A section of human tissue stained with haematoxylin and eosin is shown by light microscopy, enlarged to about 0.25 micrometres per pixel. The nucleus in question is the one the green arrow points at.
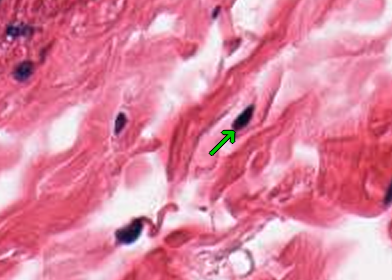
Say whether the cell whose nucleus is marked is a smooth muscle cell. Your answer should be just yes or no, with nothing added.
no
